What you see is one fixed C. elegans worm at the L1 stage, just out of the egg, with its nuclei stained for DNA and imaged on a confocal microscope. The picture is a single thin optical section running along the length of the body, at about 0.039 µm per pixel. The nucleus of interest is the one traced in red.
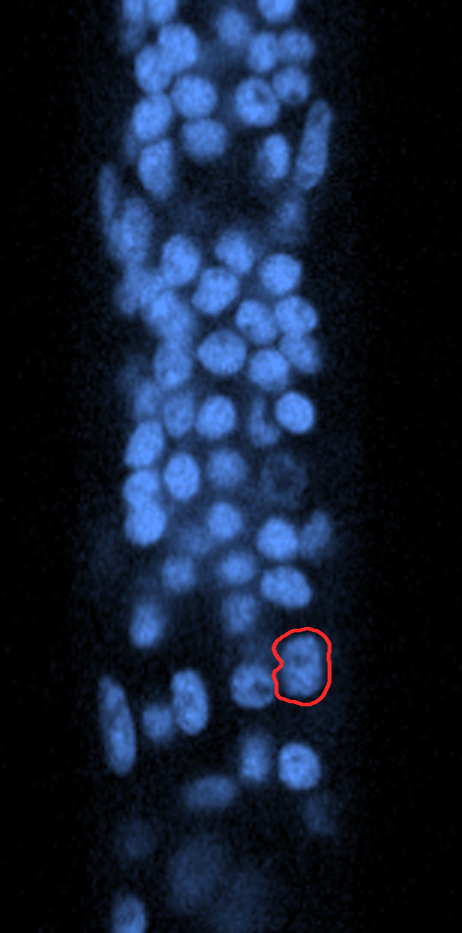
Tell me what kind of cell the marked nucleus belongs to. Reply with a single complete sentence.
The marked nucleus is that of a body wall muscle cell.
